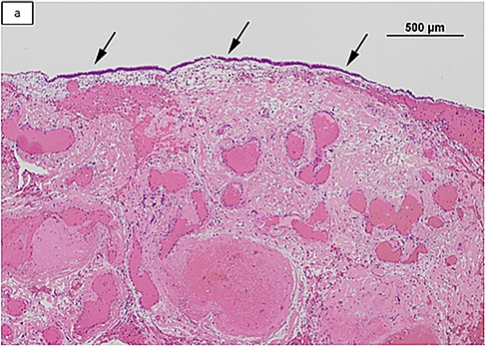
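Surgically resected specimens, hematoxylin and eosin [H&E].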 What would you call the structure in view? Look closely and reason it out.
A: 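Many large, rounded and irregular spaces filled with solid pink material lie throughout the stroma. The spaces vary widely in size, some very large, set in pale loose tissue. On this evidence: dilated blood vessels.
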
